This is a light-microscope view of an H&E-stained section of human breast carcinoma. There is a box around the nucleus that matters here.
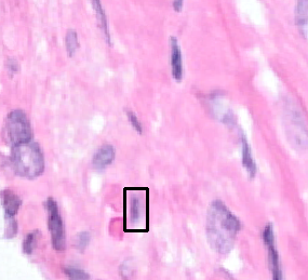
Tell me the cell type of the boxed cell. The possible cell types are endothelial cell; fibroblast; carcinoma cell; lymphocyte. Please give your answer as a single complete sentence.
Typologically, the boxed cell is an endothelial cell in this section.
